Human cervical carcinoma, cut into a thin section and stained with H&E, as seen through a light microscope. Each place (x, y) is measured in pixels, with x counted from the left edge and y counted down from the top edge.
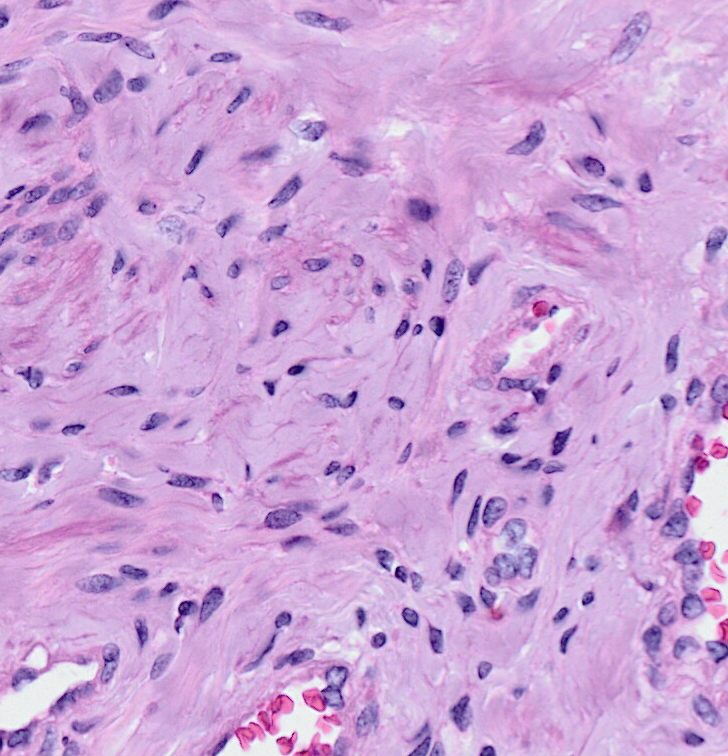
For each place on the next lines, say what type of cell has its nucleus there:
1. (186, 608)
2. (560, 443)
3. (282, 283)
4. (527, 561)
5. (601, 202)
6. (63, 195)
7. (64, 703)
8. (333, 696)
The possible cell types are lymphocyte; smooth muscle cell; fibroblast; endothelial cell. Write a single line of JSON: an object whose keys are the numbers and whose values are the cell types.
{"1": "lymphocyte", "2": "fibroblast", "3": "smooth muscle cell", "4": "endothelial cell", "5": "fibroblast", "6": "smooth muscle cell", "7": "endothelial cell", "8": "endothelial cell"}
